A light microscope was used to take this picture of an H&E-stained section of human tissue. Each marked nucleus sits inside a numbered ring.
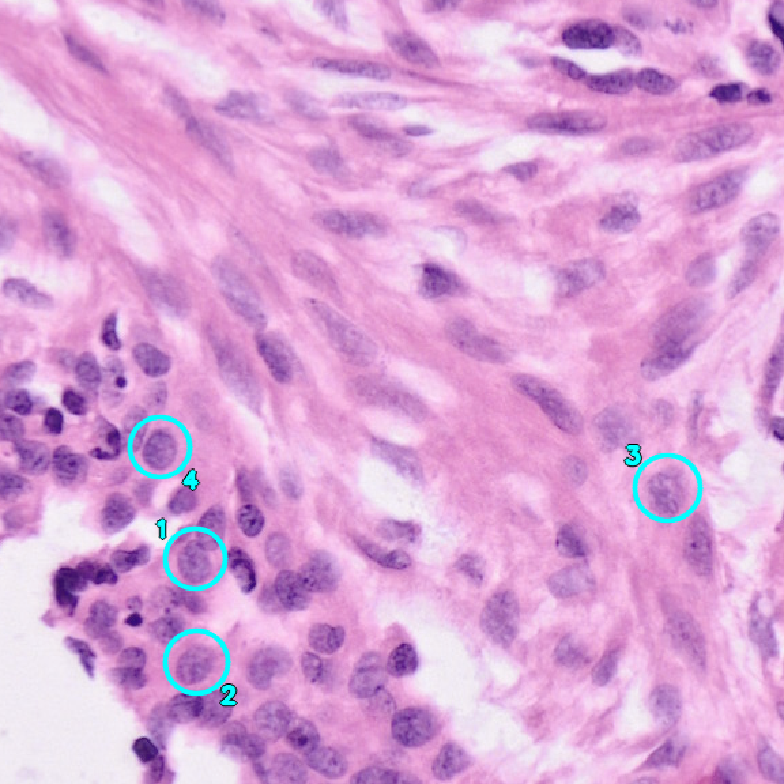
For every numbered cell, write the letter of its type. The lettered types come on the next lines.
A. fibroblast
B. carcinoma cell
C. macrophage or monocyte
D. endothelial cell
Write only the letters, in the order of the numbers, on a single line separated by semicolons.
B; B; A; B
